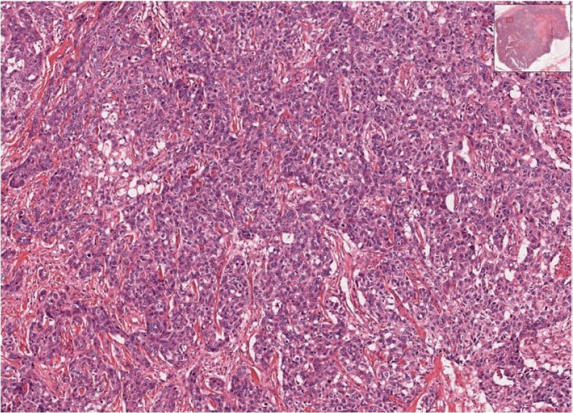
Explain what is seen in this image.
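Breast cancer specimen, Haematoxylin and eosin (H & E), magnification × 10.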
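The field is densely packed with tumour cells whose purple nuclei crowd closely together, with pink cytoplasm between them. Gland lumens are scarce; instead the cells form broad confluent masses. Only thin strands of pink stroma run through the sheets, and a few small clear spaces and vacuolated areas are scattered among the cells.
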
